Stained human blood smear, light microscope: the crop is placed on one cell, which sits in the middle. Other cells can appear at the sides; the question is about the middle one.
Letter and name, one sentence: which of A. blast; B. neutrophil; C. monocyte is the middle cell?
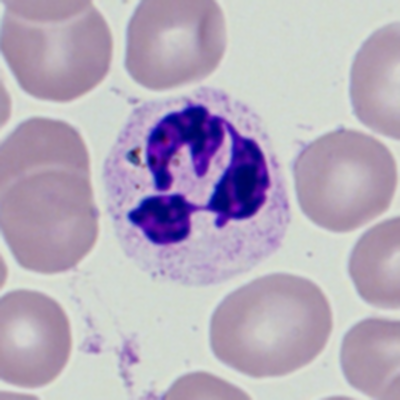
What option B states is correct, the central cell being a neutrophil.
